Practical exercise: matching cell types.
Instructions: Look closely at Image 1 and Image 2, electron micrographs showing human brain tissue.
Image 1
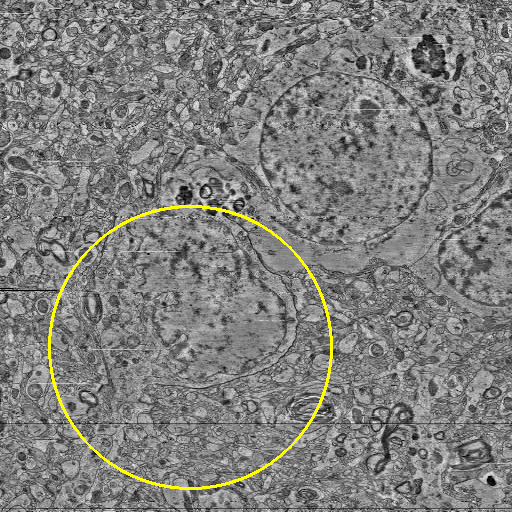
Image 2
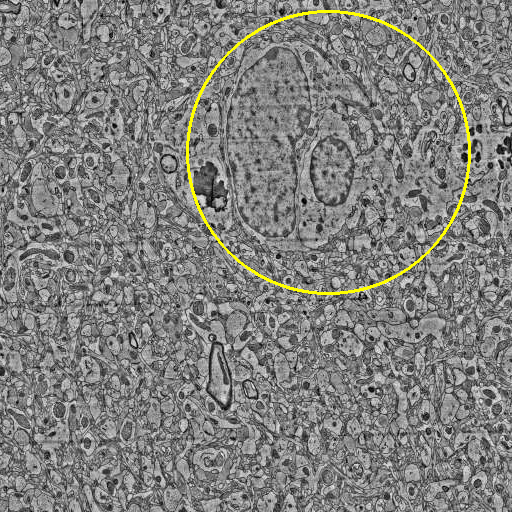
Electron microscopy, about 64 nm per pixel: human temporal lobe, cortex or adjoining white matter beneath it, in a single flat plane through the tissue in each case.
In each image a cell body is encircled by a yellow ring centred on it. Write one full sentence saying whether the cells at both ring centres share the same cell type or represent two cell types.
Across Image 1 and Image 2, the cells at the ring centres represent two cell types.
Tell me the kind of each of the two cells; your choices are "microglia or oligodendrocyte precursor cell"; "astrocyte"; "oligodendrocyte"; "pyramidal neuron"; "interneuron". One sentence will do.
The ringed cell is an interneuron in the first picture and an astrocyte in the second picture.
